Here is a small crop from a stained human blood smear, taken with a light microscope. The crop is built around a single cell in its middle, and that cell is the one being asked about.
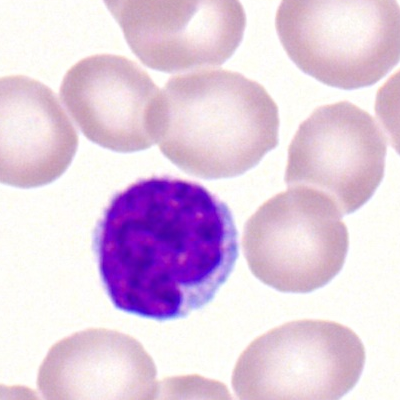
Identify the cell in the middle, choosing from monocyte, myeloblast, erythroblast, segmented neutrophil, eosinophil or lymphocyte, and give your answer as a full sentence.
The single cell at the center of the crop is a lymphocyte.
